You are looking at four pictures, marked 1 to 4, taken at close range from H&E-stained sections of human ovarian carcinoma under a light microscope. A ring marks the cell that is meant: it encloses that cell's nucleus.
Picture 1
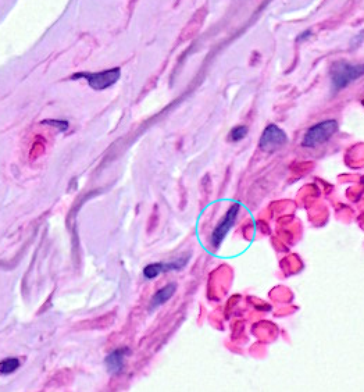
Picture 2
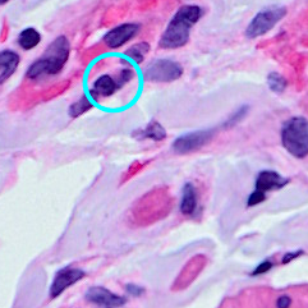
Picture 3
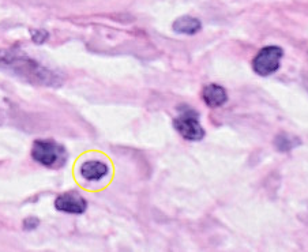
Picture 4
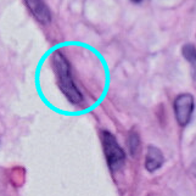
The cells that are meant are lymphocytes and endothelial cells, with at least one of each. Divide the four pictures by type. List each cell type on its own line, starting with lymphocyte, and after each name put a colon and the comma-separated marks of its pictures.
lymphocyte: 2, 3
endothelial cell: 1, 4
